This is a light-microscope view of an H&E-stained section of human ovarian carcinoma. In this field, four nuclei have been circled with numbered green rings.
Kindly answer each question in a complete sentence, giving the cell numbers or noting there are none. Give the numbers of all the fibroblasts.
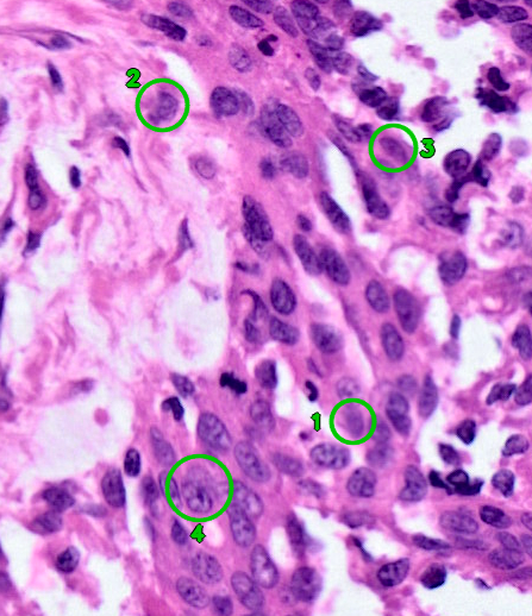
Cell 2 is the only numbered cell that is a fibroblast.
